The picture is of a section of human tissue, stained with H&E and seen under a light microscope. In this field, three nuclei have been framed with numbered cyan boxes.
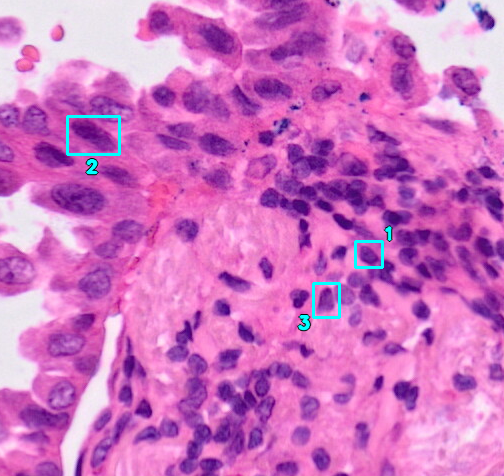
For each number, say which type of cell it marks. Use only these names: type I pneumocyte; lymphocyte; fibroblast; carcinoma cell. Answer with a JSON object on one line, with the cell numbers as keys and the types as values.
{"1": "lymphocyte", "2": "carcinoma cell", "3": "lymphocyte"}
